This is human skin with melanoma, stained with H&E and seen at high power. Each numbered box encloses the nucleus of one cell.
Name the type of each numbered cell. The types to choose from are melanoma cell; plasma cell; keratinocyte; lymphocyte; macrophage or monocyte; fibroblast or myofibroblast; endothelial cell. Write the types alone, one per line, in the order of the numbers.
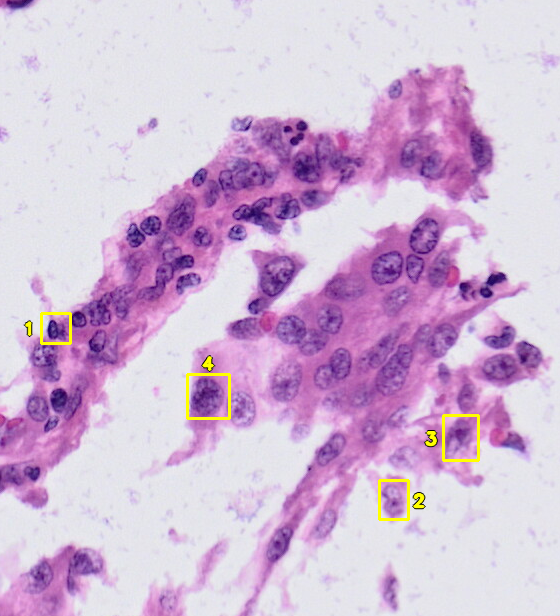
lymphocyte
melanoma cell
melanoma cell
melanoma cell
